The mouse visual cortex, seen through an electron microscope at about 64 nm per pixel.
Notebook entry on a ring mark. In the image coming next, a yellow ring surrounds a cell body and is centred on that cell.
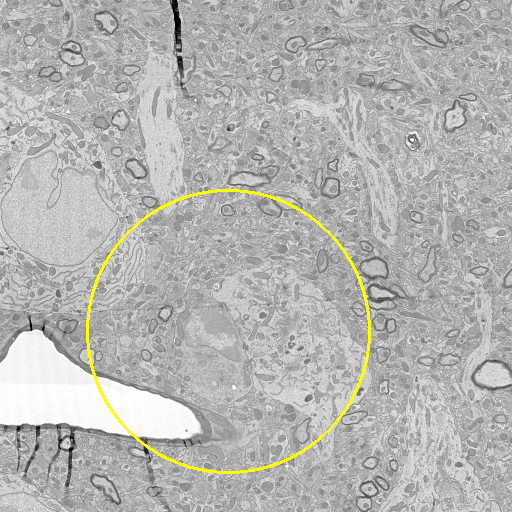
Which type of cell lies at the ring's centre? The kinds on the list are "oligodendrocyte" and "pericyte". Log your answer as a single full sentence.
Centred in the yellow ring is an oligodendrocyte, the cell recorded for this image.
